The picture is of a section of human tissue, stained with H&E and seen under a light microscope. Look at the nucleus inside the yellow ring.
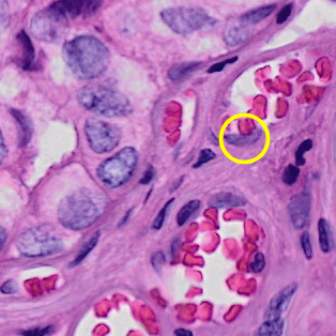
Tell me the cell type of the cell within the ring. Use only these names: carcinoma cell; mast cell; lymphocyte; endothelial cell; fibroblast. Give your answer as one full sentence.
Right, so the cell within the ring is an endothelial cell, to answer that.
